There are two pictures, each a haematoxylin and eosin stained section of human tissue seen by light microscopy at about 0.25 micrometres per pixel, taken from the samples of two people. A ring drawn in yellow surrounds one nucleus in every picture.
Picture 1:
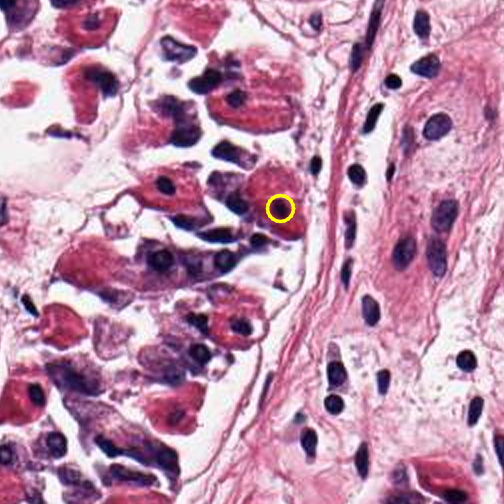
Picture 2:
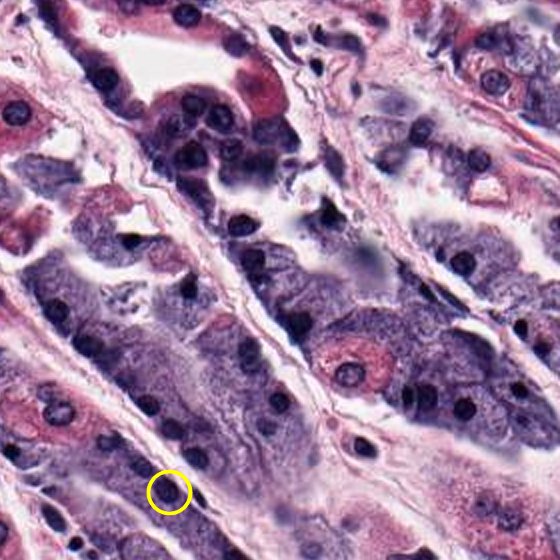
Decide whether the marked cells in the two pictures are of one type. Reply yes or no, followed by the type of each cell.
No, the first is a parietal cell and the second a chief cell.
